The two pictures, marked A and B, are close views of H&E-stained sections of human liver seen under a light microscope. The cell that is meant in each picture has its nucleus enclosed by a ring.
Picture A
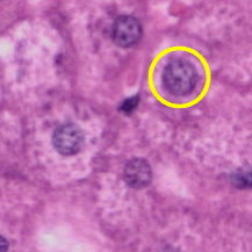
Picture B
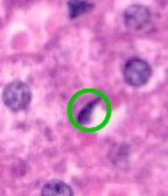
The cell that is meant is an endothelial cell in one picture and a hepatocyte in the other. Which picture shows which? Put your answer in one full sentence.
Picture B shows an endothelial cell, while picture A shows a hepatocyte.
